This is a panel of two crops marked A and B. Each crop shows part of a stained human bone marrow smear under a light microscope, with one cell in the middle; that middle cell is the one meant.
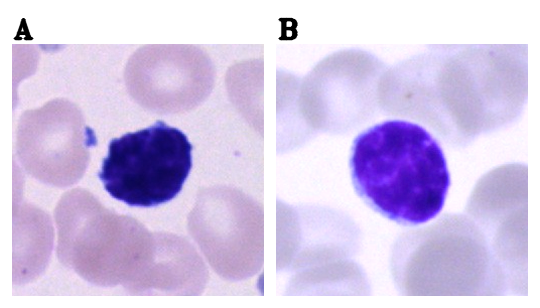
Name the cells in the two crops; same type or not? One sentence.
Yes, these two crops both show lymphocytes.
